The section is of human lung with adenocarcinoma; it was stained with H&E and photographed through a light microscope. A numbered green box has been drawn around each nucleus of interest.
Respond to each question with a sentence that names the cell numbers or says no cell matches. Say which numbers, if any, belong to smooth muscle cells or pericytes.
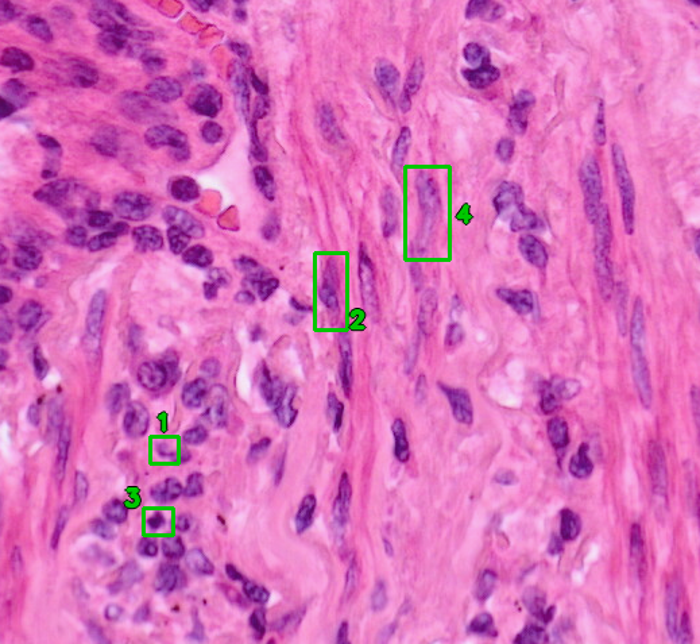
On this slide, the cells numbered 2 and 4 are smooth muscle cells or pericytes.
